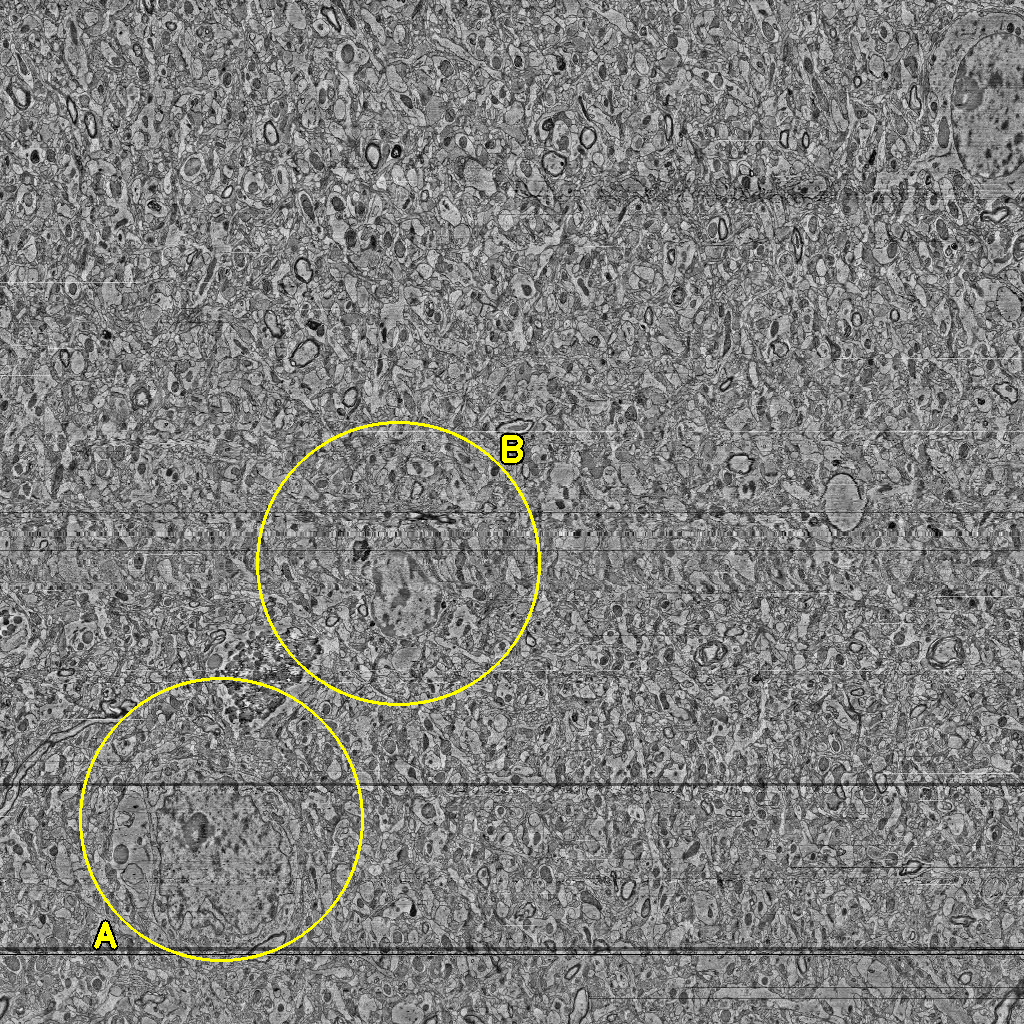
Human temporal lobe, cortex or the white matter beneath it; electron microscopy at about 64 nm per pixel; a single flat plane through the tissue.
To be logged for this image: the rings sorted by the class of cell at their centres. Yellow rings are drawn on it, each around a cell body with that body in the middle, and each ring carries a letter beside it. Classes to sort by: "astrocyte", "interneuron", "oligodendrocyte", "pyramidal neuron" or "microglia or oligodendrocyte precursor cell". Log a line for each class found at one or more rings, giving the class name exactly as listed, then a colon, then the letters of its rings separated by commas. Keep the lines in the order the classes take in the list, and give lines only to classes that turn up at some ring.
interneuron: A
microglia or oligodendrocyte precursor cell: B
